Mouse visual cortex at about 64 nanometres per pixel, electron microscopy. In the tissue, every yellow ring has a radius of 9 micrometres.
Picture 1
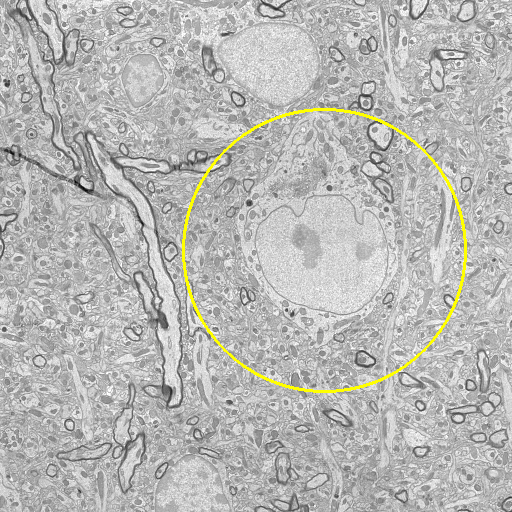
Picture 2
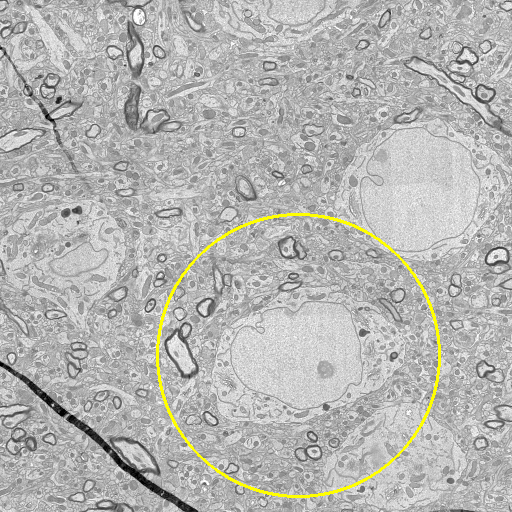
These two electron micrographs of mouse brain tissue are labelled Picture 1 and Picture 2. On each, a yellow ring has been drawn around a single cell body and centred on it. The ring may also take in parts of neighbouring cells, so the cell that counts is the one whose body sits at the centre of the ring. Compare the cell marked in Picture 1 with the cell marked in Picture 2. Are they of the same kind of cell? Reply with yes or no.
yes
